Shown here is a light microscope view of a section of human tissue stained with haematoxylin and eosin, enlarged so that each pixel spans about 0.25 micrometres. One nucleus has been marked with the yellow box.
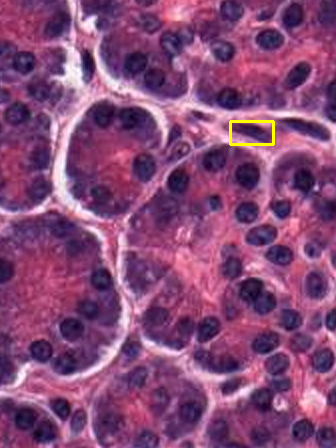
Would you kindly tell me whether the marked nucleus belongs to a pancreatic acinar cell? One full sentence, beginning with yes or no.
No, the marked nucleus is not the nucleus of a pancreatic acinar cell but of a supporting cell.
